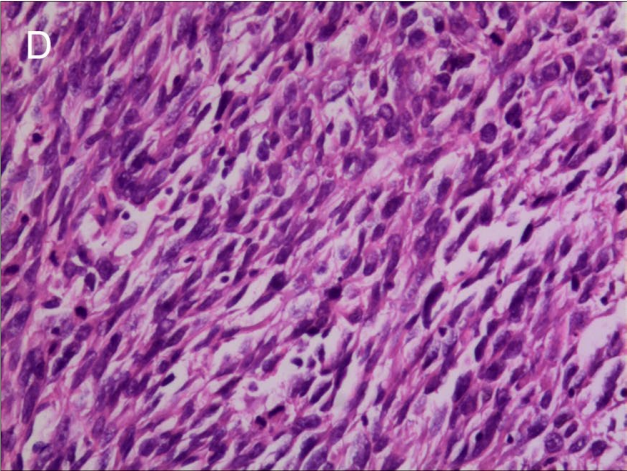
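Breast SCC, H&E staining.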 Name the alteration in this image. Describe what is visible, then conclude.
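Atypia. Nuclei are large and darkly stained. Nuclear size and shape vary markedly.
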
